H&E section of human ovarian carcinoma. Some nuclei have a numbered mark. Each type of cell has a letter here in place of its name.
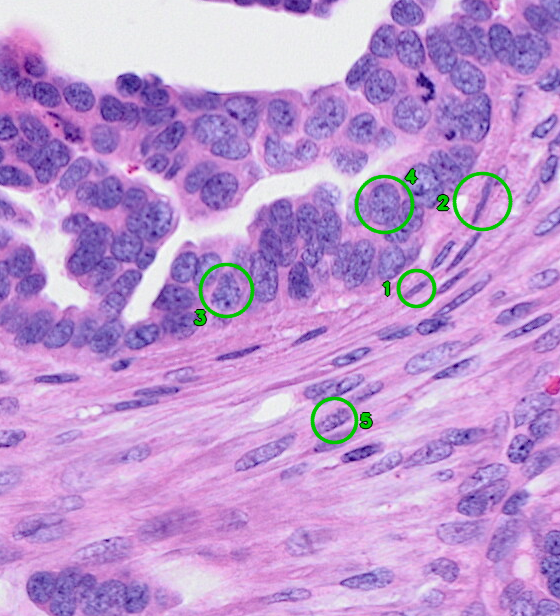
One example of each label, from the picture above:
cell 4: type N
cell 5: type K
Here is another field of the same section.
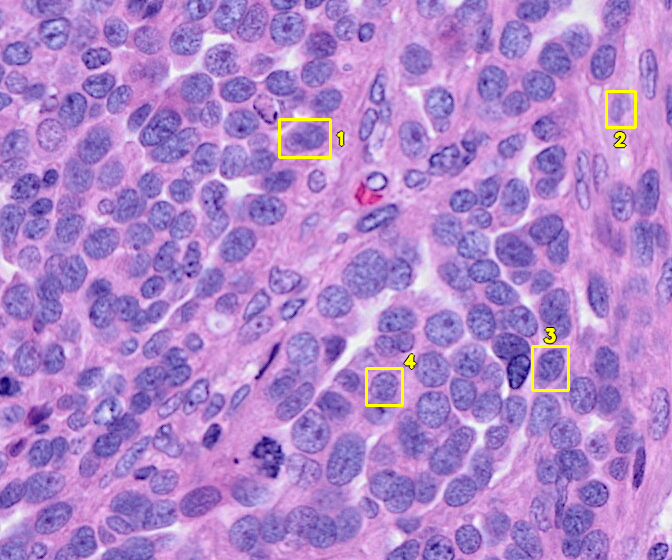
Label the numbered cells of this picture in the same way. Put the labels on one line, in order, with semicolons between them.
type N; type K; type N; type N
